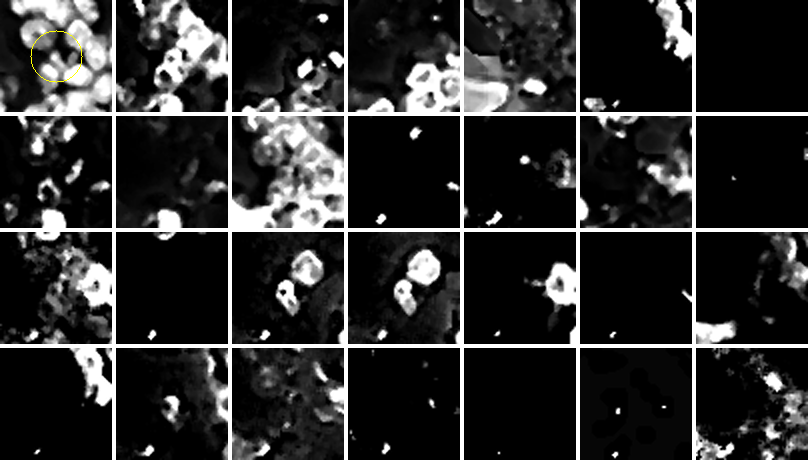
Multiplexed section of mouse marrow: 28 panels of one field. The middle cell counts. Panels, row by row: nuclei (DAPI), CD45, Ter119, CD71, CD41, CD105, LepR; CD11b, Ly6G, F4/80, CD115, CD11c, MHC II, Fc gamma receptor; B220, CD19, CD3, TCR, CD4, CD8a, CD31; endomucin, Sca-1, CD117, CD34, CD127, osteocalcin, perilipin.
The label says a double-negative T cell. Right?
Right.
